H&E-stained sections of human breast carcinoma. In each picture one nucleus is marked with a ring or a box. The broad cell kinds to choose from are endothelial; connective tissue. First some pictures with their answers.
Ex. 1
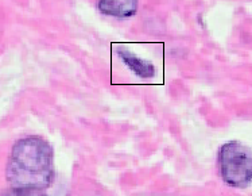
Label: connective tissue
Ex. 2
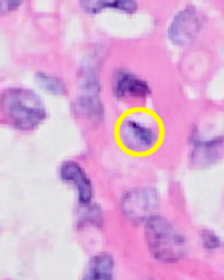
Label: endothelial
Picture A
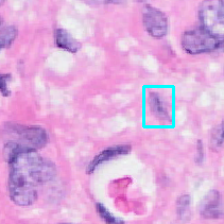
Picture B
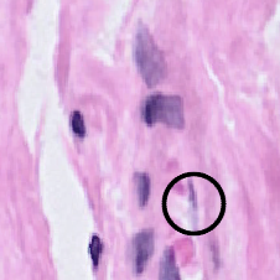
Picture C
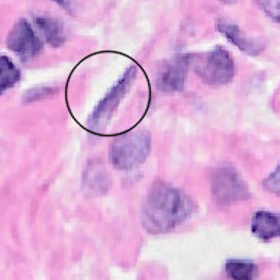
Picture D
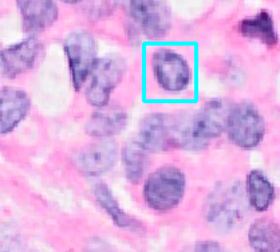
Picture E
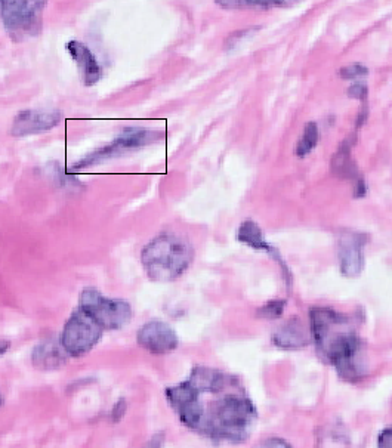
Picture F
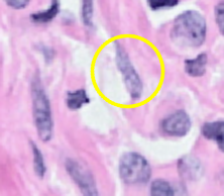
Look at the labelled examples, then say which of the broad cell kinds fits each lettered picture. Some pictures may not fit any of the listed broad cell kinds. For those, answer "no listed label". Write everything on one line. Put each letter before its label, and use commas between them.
A connective tissue, B endothelial, C connective tissue, D no listed label, E connective tissue, F connective tissue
